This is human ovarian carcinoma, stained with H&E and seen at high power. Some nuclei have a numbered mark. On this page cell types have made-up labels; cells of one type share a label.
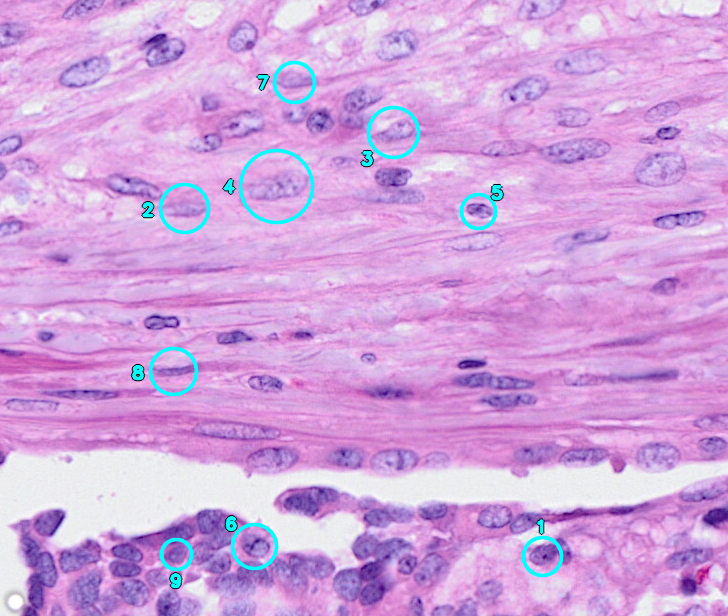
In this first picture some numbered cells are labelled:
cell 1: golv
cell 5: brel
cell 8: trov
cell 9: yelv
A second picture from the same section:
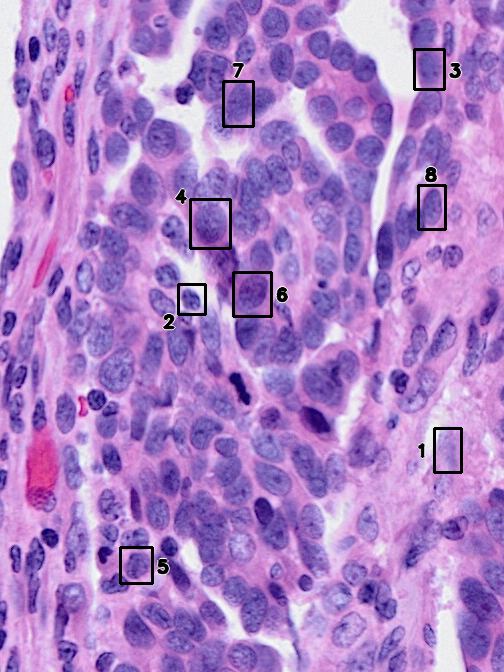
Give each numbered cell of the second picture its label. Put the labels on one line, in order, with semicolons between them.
trov; brel; yelv; yelv; golv; yelv; yelv; yelv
